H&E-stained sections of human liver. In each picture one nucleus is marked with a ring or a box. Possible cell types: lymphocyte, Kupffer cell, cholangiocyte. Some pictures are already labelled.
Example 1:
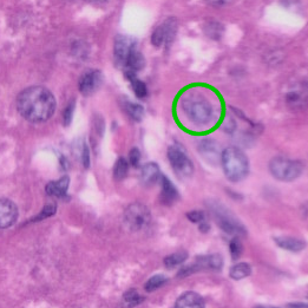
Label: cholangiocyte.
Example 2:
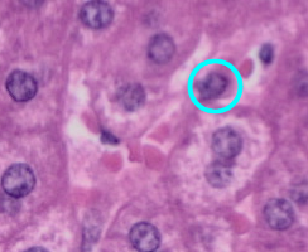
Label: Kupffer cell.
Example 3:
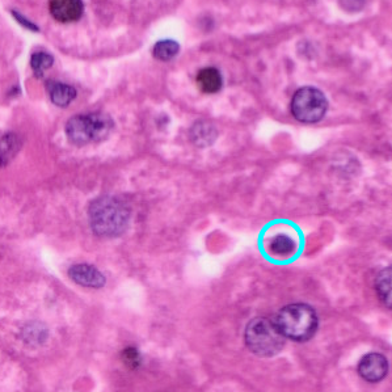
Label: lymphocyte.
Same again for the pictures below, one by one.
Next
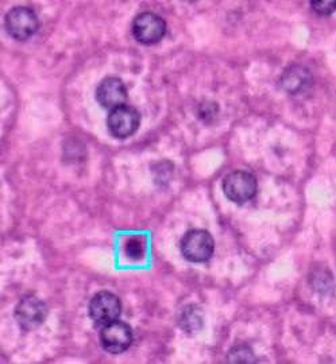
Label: lymphocyte.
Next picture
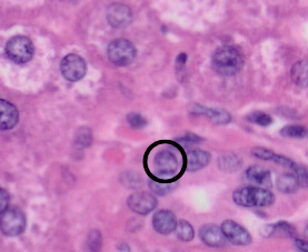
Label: cholangiocyte.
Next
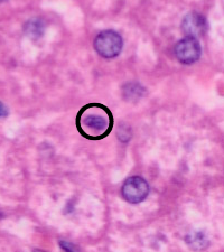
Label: lymphocyte.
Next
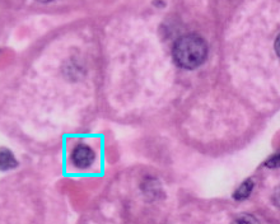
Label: lymphocyte.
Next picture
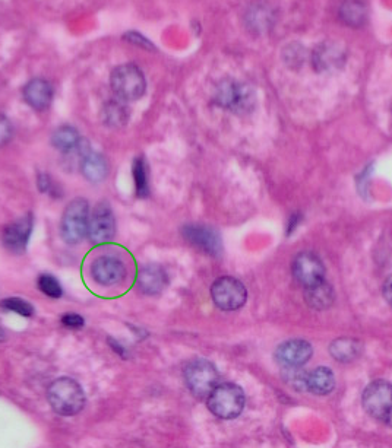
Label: cholangiocyte.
